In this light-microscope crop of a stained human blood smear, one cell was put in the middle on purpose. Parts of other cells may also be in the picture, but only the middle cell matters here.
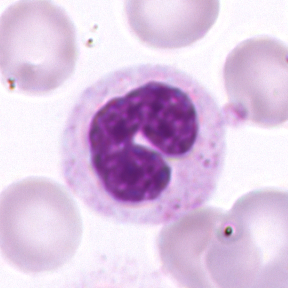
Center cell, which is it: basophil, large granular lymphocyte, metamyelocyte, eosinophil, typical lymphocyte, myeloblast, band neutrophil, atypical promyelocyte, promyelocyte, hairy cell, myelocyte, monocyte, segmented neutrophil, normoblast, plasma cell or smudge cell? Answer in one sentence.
The cell at the heart of this crop is a band neutrophil.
